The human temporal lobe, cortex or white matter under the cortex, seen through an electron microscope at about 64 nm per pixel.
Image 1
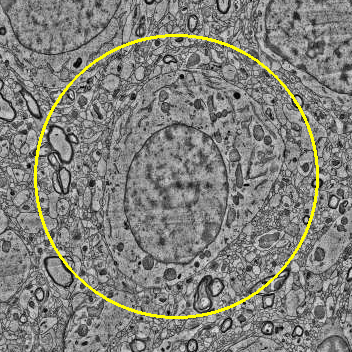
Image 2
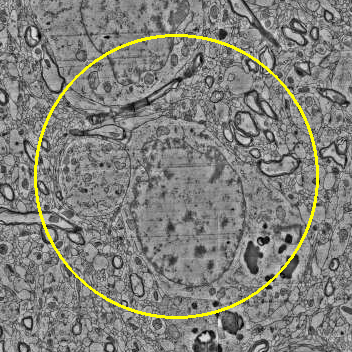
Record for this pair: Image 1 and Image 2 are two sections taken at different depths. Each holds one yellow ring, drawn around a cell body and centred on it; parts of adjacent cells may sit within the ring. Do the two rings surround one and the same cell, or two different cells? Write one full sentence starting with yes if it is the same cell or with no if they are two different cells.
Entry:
No, each ring encloses a different cell in the tissue.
